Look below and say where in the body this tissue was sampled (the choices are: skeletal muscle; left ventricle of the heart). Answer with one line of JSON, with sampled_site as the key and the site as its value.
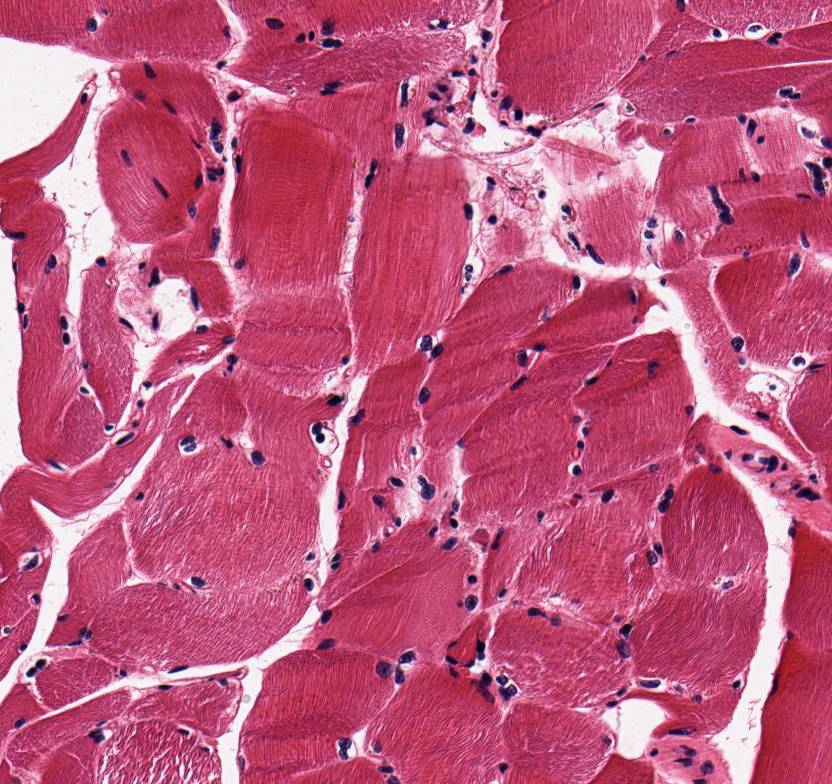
{"sampled_site": "skeletal muscle"}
